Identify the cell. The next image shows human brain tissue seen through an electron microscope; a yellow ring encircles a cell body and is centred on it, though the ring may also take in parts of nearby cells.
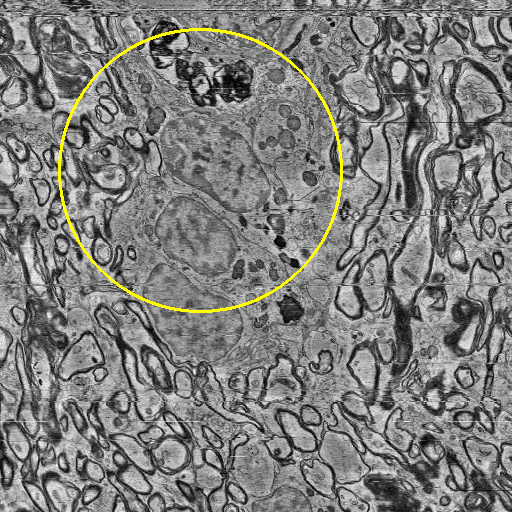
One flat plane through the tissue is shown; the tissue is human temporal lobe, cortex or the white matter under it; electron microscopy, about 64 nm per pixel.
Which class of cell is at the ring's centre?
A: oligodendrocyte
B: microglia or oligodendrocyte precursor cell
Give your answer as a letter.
B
